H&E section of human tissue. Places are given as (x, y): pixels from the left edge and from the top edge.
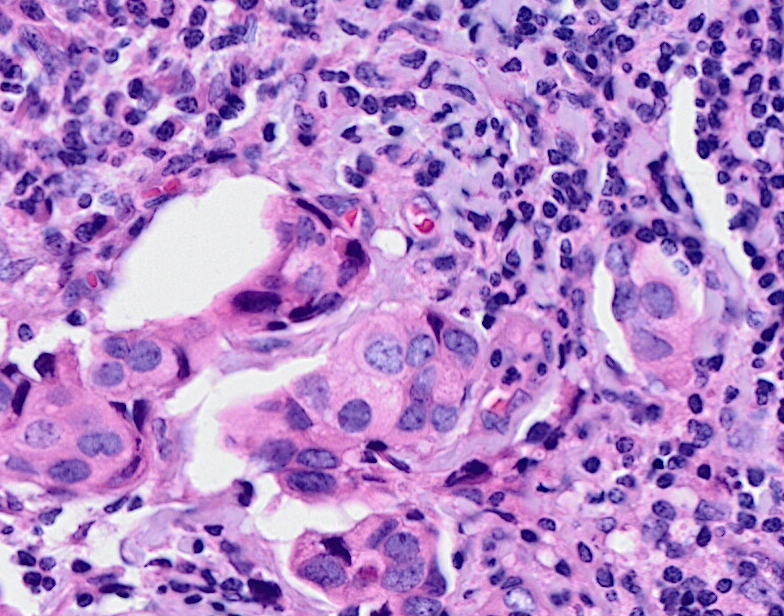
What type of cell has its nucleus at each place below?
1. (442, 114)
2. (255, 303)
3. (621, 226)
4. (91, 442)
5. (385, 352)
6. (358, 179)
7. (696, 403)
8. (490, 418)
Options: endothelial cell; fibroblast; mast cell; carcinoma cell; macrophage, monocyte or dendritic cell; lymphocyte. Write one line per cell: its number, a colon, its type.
1: lymphocyte
2: carcinoma cell
3: lymphocyte
4: carcinoma cell
5: carcinoma cell
6: lymphocyte
7: lymphocyte
8: endothelial cell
